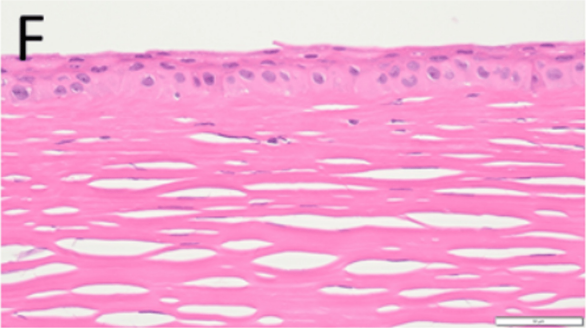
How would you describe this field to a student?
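Cornea shows a stratified epithelium of a few cell layers resting on a thick stroma. The epithelial cells have round to oval purple nuclei, with more cuboidal cells at the base and flatter cells toward the surface. The stroma consists of regular, parallel pink collagen lamellae separated by slit-like clear spaces. Only sparse thin, flattened nuclei lie between the lamellae. No clusters of small round inflammatory cells are seen in the stroma.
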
